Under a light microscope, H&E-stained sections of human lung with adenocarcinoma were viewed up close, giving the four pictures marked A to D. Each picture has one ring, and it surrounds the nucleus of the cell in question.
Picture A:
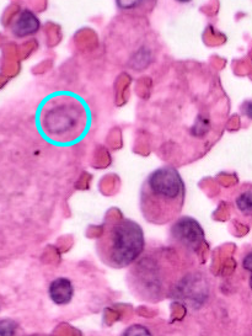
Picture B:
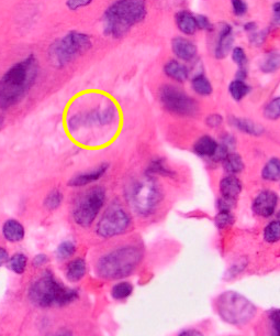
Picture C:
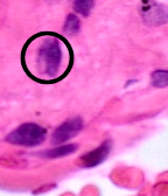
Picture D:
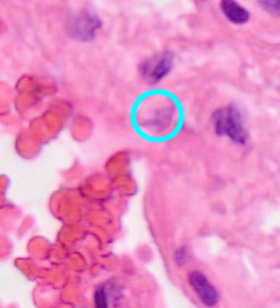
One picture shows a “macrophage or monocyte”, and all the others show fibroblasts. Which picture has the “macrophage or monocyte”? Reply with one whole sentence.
The cell in picture A is the “macrophage or monocyte”.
